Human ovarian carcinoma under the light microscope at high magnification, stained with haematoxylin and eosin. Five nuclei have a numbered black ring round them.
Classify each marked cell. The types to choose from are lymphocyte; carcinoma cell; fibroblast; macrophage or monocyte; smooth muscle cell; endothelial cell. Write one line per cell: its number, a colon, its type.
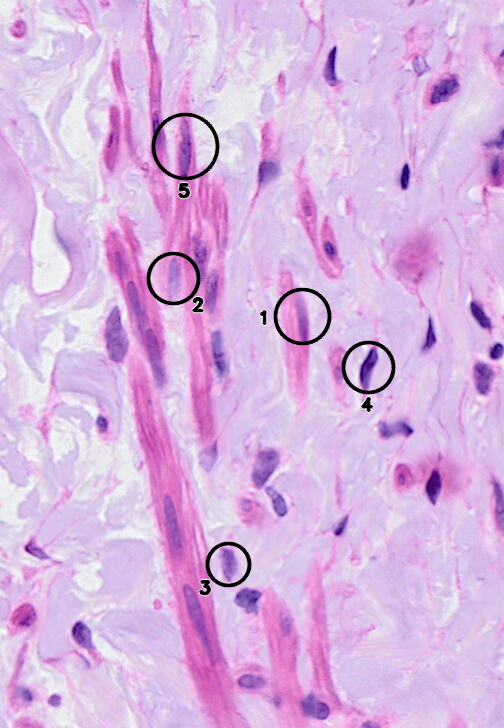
1: smooth muscle cell
2: smooth muscle cell
3: fibroblast
4: fibroblast
5: smooth muscle cell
